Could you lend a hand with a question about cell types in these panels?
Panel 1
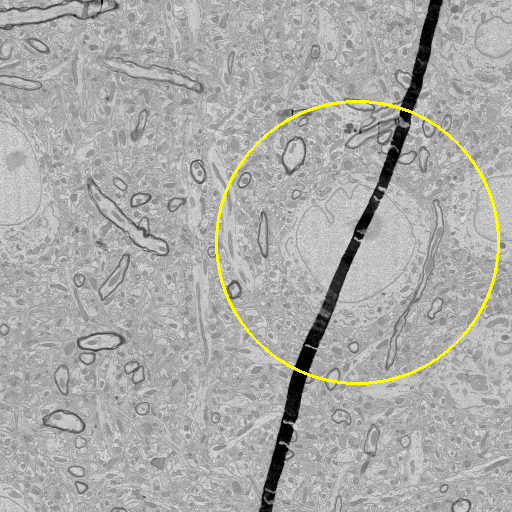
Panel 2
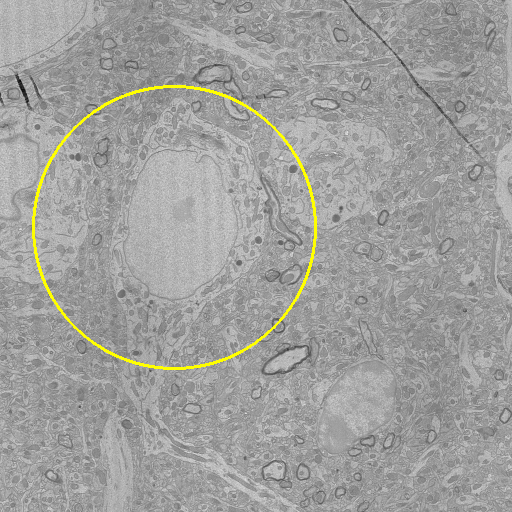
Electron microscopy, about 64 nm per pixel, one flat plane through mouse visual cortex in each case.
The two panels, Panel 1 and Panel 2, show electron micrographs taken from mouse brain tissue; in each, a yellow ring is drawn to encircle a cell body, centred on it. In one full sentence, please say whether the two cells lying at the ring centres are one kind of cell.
No, the cells at the ring centres in the two panels are two kinds of cell.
